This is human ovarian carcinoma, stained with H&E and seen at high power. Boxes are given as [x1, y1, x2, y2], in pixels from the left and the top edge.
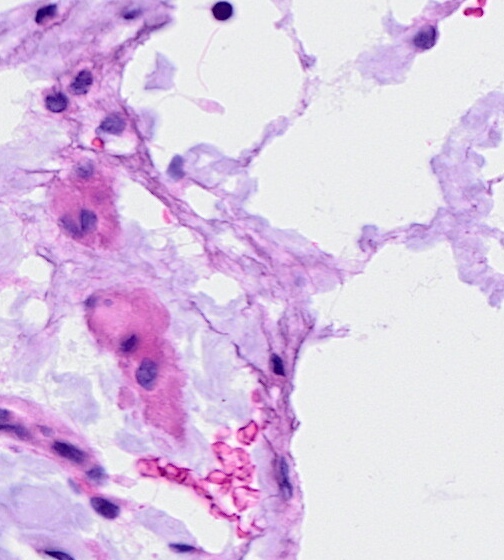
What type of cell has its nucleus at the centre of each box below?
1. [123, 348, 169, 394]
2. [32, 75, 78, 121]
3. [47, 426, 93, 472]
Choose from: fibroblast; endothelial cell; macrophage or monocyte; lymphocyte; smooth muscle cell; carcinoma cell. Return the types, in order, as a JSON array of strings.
["smooth muscle cell", "macrophage or monocyte", "endothelial cell"]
